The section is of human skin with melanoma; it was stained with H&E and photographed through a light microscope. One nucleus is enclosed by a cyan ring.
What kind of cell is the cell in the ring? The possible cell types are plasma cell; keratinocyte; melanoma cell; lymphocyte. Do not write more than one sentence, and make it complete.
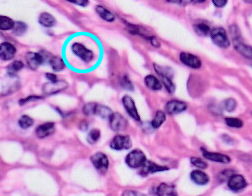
Within the stained tissue, the cell in the ring is a lymphocyte.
